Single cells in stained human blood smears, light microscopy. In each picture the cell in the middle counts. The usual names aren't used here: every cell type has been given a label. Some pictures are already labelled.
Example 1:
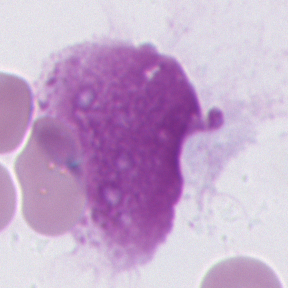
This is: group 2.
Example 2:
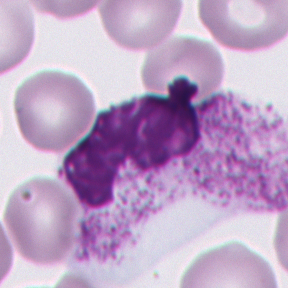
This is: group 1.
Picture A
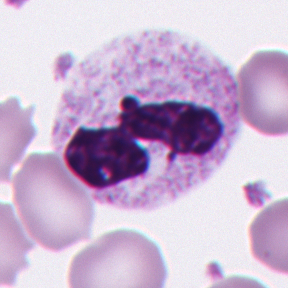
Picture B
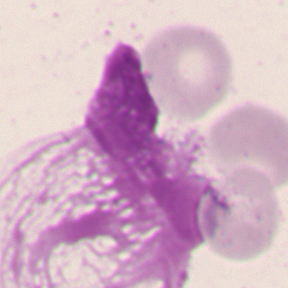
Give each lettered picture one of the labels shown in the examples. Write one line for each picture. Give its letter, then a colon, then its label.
A: group 1.
B: group 2.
